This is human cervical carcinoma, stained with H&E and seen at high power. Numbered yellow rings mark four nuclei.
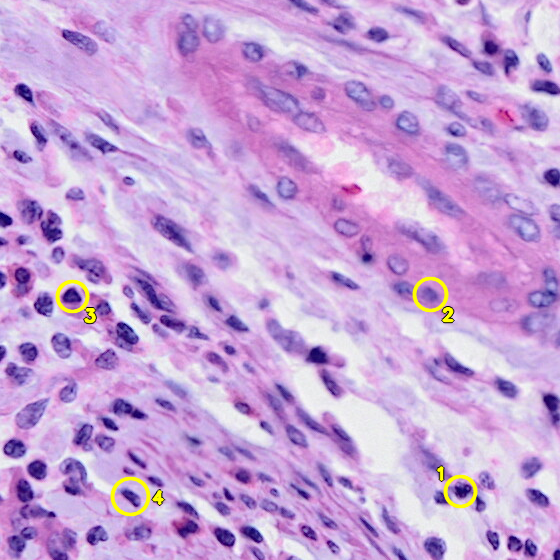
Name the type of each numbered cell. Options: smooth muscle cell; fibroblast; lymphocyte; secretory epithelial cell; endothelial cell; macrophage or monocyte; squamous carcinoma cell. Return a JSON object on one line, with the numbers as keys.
{"1": "lymphocyte", "2": "smooth muscle cell", "3": "lymphocyte", "4": "lymphocyte"}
